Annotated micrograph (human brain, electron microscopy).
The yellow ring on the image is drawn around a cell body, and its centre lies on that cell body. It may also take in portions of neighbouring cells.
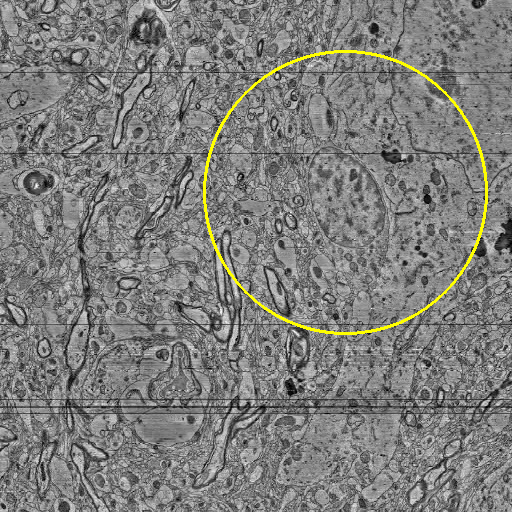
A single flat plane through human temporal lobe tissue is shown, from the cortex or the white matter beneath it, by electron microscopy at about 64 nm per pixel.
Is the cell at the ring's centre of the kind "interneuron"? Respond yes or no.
No, it is of another kind.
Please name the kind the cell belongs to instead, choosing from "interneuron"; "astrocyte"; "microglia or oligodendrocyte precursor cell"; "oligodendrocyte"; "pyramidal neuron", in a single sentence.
The ring's central cell is an oligodendrocyte instead.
